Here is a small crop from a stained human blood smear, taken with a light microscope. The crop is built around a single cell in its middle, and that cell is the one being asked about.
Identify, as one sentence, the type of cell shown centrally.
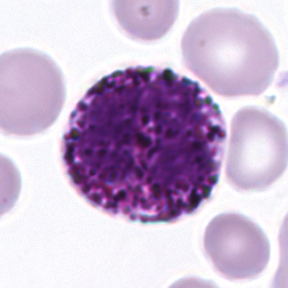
The middle cell in this particular crop is a basophil.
